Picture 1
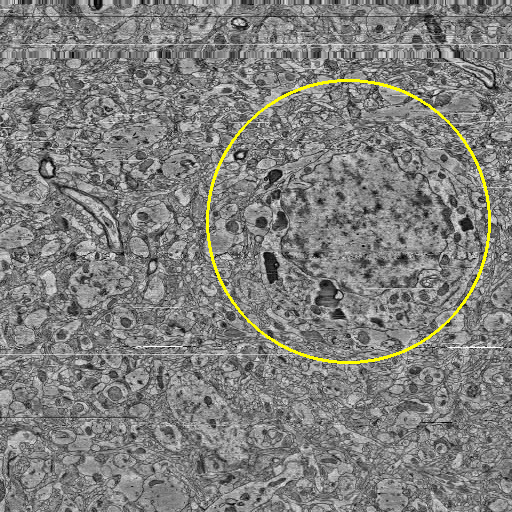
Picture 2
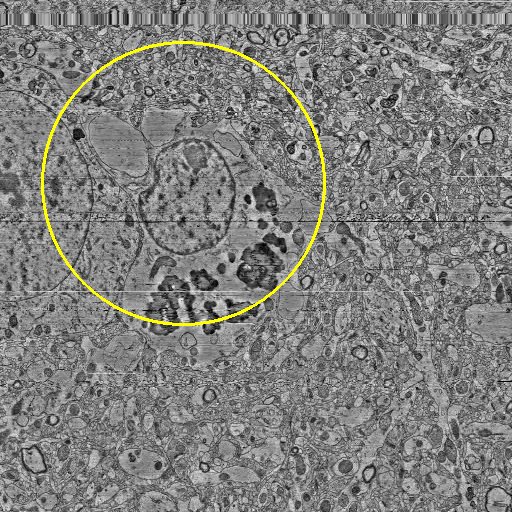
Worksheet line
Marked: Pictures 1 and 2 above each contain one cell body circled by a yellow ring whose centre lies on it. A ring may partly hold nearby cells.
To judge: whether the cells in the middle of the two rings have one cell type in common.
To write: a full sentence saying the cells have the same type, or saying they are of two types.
The cells in the middle of the rings in Picture 1 and Picture 2 are of two types.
